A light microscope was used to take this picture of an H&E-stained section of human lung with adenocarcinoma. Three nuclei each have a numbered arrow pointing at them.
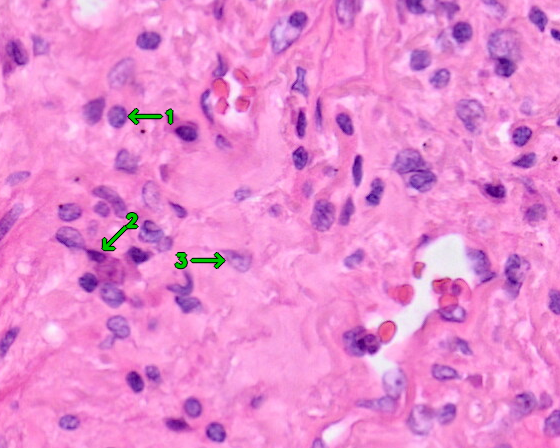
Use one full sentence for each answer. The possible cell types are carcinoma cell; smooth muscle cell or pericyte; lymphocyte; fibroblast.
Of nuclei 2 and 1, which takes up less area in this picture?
Nucleus 2 is the smaller one; nucleus 1 covers about 1.5 times its area.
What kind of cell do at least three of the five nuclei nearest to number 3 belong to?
Of the five nuclei nearest to number 3, most belong to fibroblasts.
